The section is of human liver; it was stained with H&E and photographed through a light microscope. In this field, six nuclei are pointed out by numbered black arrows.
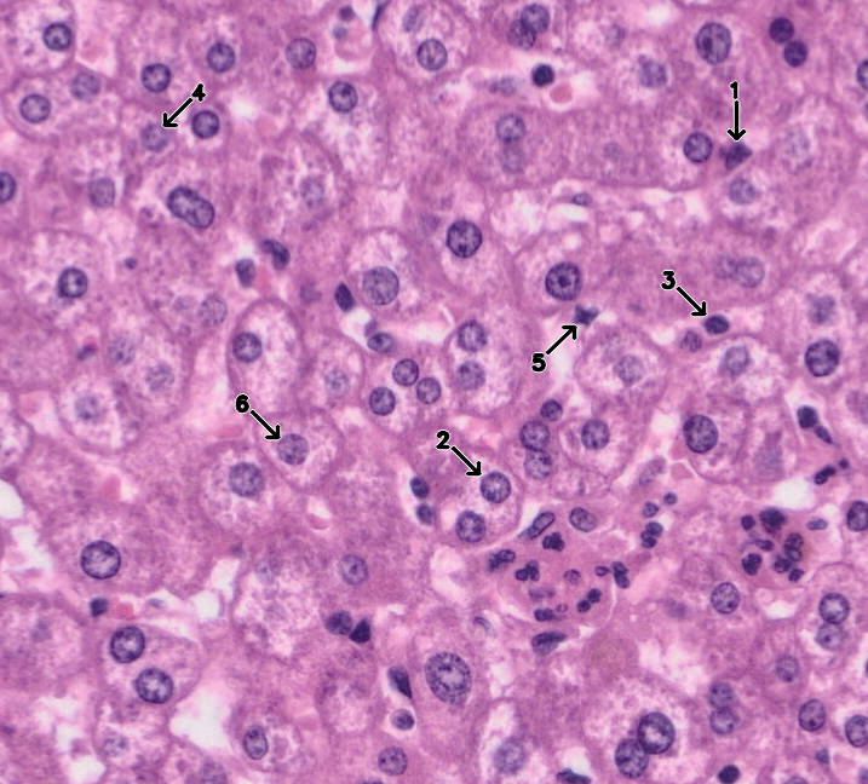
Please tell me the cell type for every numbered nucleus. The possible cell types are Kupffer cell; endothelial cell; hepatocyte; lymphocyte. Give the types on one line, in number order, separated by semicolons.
endothelial cell; hepatocyte; lymphocyte; hepatocyte; endothelial cell; hepatocyte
